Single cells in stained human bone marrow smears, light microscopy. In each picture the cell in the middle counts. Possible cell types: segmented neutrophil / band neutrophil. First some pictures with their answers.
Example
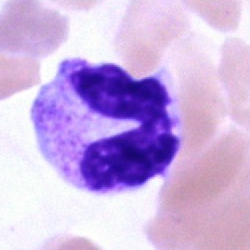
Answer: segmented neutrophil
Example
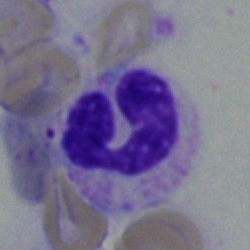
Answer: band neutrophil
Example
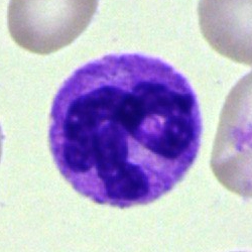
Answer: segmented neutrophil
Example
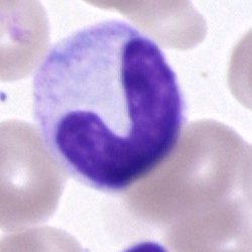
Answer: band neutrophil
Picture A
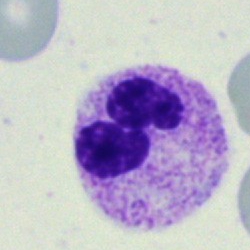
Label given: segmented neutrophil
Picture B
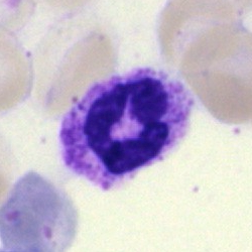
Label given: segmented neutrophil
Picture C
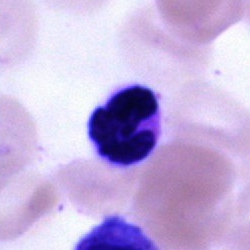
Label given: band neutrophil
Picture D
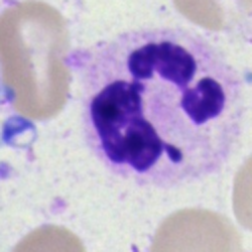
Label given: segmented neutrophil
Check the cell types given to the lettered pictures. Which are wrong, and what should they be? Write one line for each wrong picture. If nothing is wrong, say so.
C should be segmented neutrophil, not band neutrophil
